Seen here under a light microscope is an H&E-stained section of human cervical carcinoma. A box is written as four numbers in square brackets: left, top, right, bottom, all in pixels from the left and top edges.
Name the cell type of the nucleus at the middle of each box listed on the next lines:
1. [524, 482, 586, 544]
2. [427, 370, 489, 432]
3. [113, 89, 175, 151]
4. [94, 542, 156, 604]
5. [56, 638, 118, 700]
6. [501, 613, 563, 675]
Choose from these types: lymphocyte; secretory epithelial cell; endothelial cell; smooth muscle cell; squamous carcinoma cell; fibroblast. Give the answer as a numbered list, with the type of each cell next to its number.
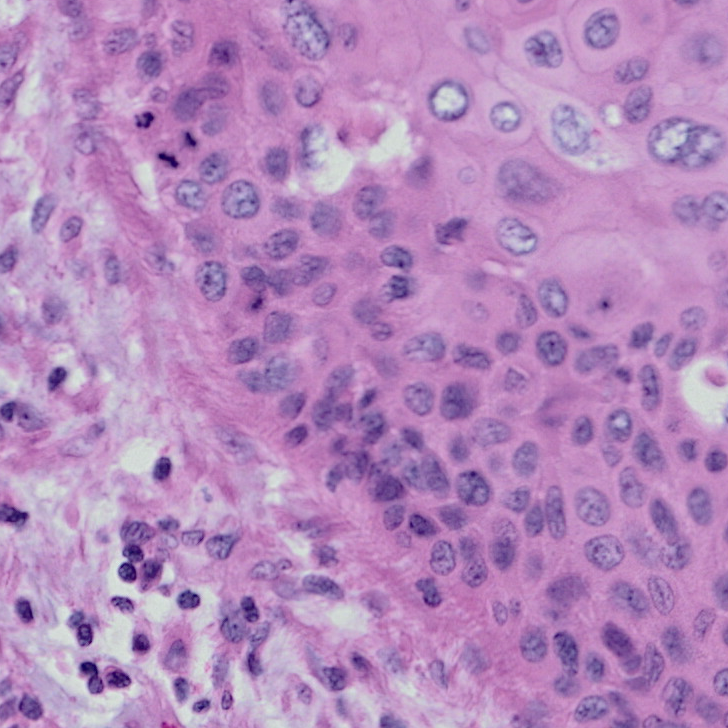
1. squamous carcinoma cell
2. squamous carcinoma cell
3. squamous carcinoma cell
4. lymphocyte
5. lymphocyte
6. squamous carcinoma cell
